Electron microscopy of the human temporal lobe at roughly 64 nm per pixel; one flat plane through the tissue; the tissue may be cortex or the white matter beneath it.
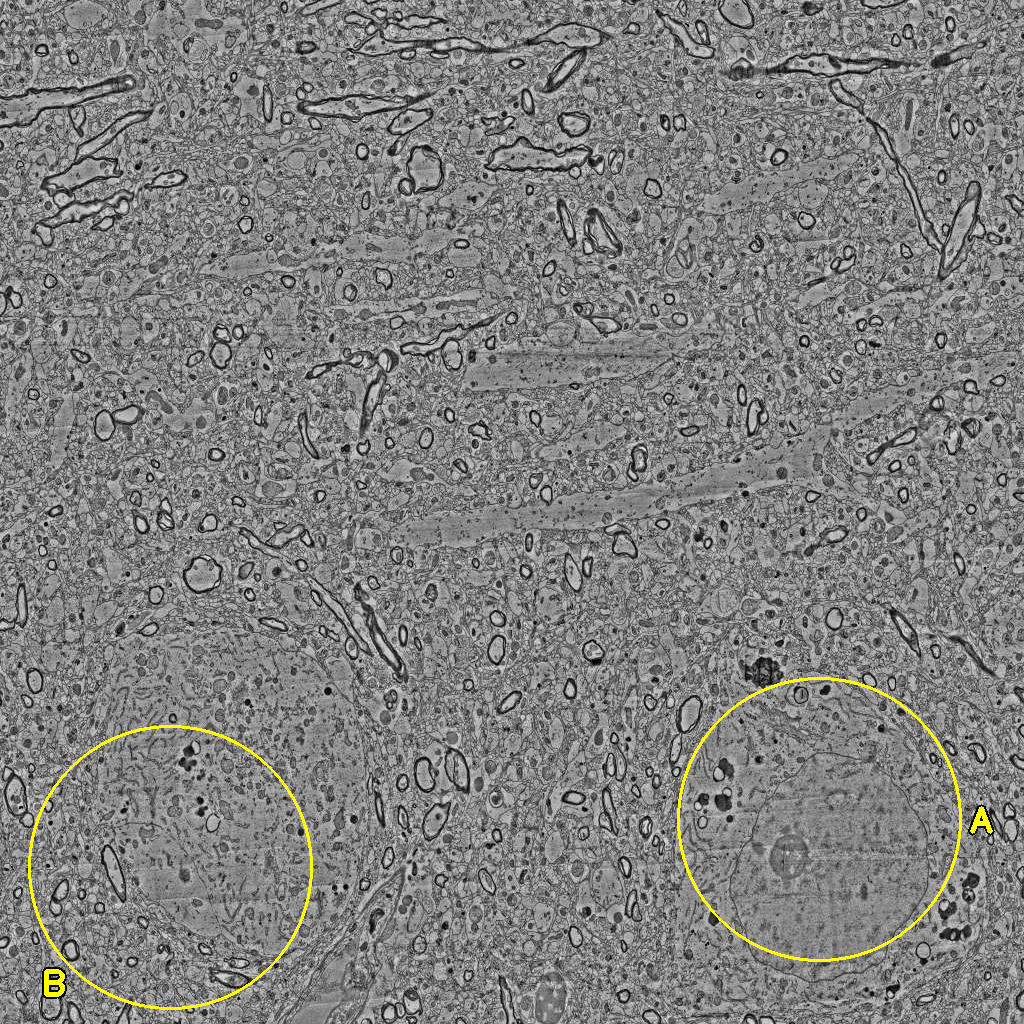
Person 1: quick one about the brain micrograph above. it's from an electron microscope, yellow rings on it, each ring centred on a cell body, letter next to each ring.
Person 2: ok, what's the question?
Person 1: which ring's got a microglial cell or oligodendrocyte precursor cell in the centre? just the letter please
B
